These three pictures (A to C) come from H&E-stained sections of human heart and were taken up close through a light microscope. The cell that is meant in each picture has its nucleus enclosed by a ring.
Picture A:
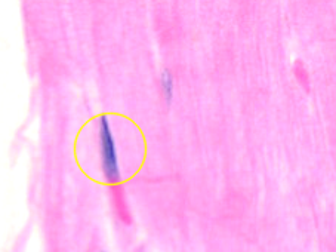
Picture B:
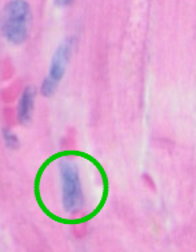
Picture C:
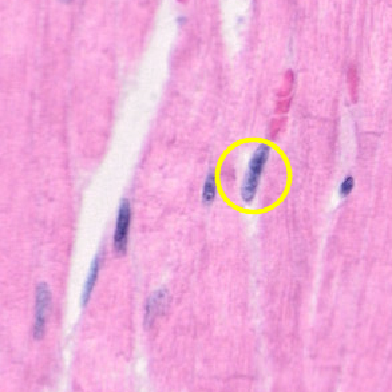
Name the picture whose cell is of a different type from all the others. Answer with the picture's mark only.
C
